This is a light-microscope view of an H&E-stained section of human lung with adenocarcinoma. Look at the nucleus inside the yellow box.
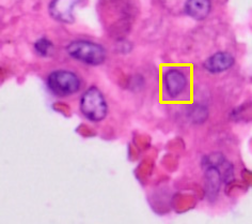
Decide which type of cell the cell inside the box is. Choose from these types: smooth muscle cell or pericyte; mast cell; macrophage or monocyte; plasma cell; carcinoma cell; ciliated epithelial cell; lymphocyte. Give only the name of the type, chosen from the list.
macrophage or monocyte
